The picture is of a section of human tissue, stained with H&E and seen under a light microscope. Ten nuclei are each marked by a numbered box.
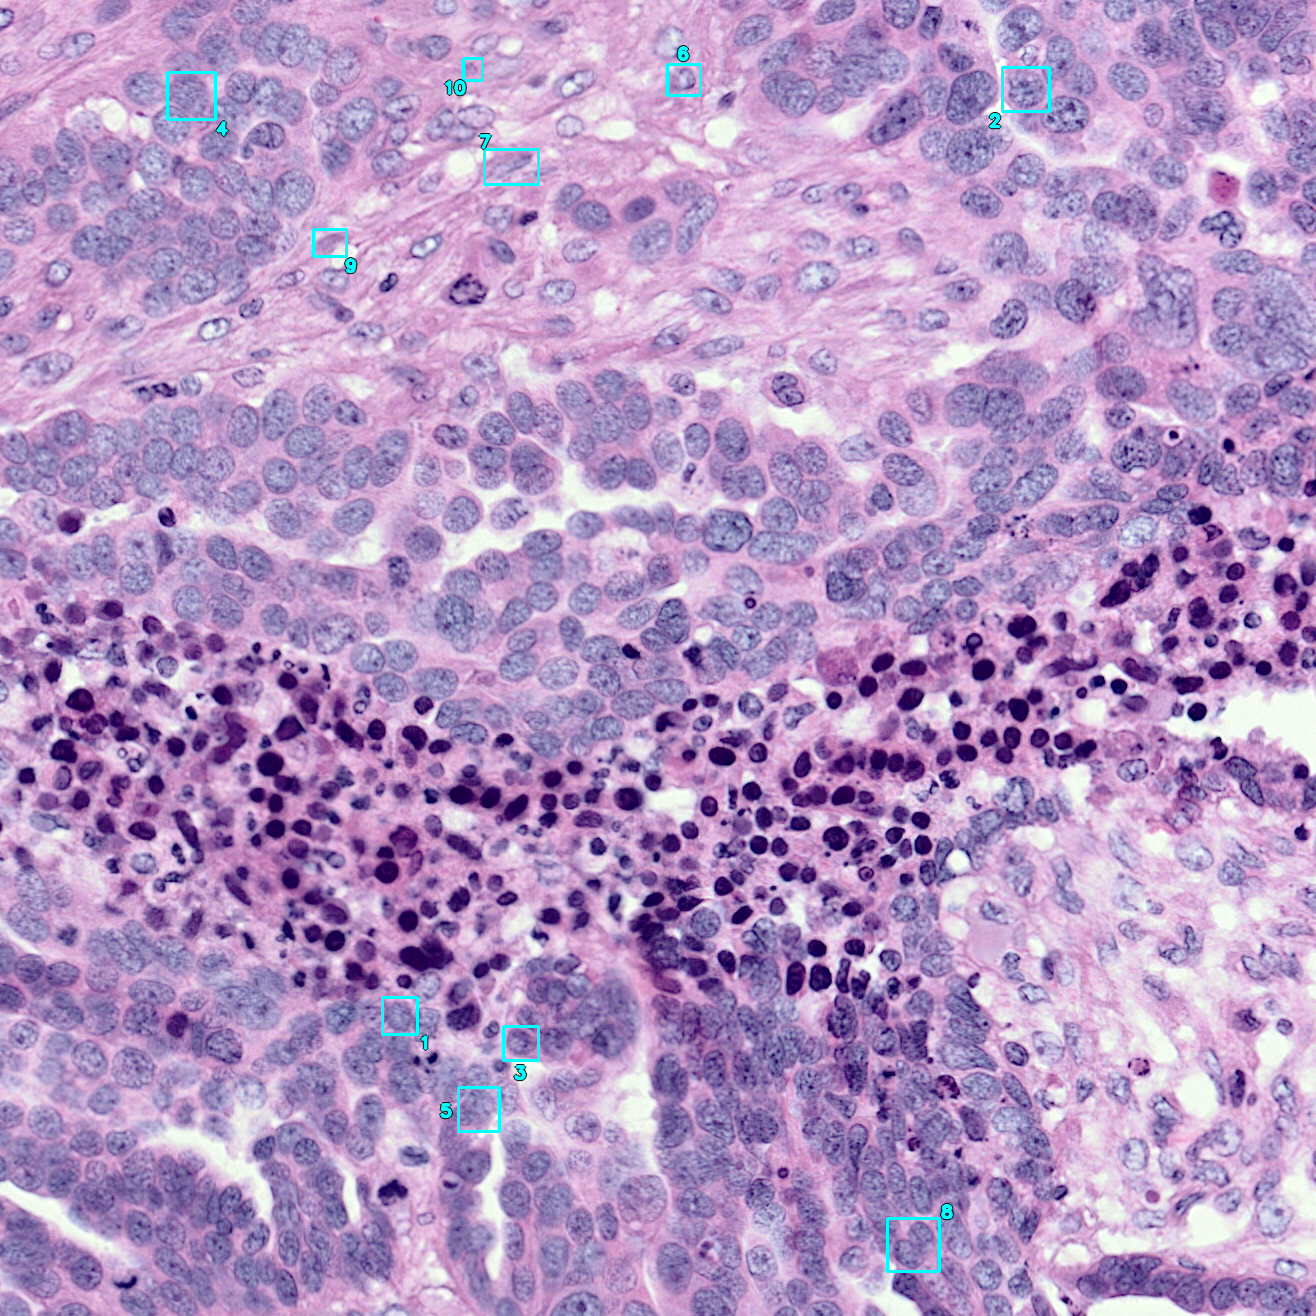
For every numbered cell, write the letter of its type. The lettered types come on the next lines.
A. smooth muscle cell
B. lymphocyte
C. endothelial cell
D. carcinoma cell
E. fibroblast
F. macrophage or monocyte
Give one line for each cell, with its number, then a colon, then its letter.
1: D
2: D
3: D
4: D
5: D
6: E
7: E
8: D
9: E
10: E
